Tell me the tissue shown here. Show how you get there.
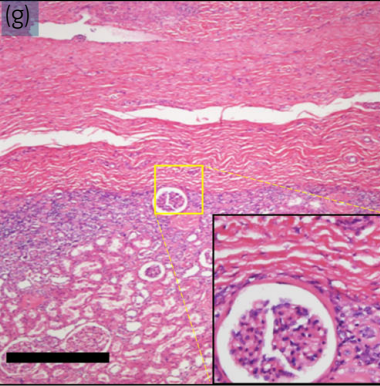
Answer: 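Round glomerular tufts sit inside clear capsular spaces, enlarged in the inset. Many small tubules fill the lower part of the panel. A band of wavy pink fibrous tissue lies above the tubules. So: kidney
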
